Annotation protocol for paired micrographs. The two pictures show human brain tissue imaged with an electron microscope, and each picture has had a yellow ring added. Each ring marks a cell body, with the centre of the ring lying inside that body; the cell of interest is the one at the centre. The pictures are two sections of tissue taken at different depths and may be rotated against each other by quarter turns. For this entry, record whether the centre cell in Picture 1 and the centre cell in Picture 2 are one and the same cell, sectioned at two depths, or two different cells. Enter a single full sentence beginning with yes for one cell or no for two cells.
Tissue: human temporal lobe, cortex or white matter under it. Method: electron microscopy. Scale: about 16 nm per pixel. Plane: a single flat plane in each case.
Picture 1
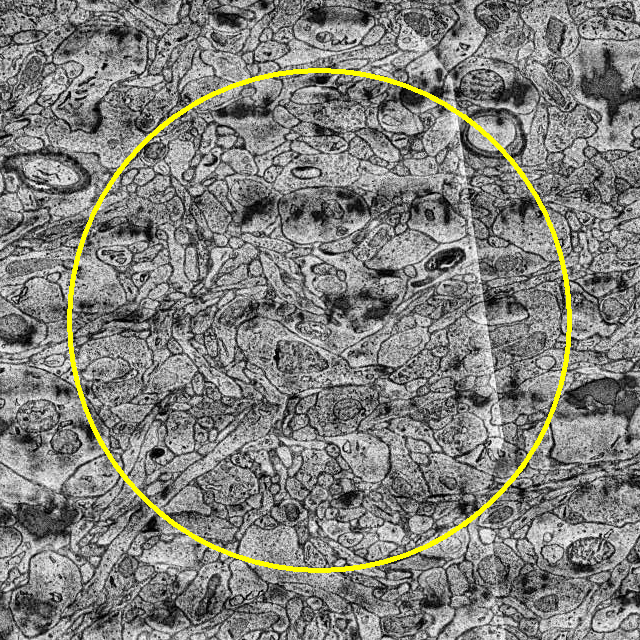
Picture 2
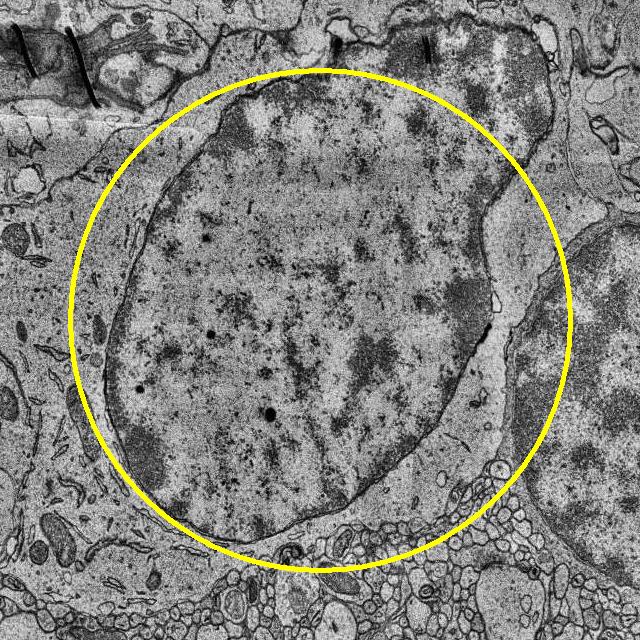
No, each of the two rings holds a different cell.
